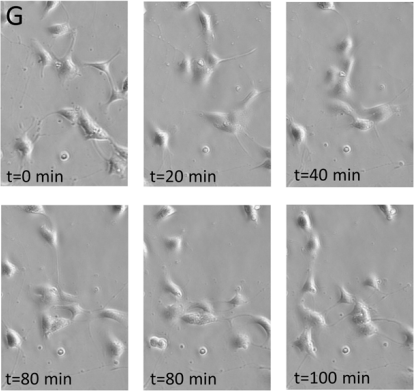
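The cells have small, rounded or spindle-shaped bodies with one or a few thin processes running out across the surface, some long and tapering, some ending in small flattened tips. The cells are scattered, with a few lying in small clusters where bodies touch. From frame to frame the bodies shift position and the processes change direction and length, so that the arrangement of cells slowly rearranges across the field while the general size and shape of the cells stays much the same.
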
